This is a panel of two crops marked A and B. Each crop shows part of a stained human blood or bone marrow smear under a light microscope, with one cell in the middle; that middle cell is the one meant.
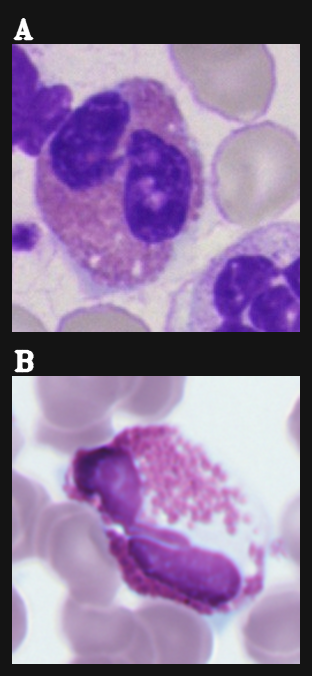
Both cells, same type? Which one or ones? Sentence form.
Yes, both crops show eosinophils in the centre of the field.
